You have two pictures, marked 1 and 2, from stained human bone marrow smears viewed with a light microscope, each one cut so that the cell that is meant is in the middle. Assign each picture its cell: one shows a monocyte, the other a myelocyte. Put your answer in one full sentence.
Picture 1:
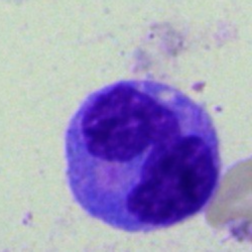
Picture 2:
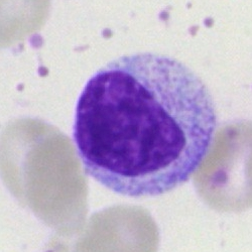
The cell in picture 1 is a monocyte, and the one in picture 2 is a myelocyte.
